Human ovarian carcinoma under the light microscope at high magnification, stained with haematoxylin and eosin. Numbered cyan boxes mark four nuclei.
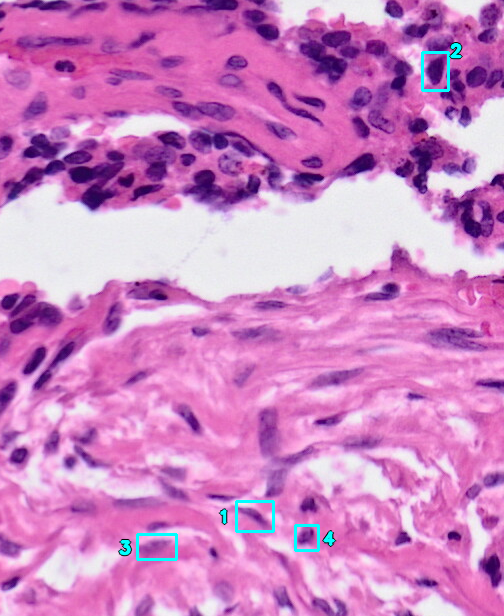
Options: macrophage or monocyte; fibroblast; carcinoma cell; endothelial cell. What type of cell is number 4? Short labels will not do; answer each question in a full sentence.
Heads up, the cell numbered 4 is a fibroblast.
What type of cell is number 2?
The cell carrying label 2 is identified as a carcinoma cell.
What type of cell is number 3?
The cell tagged with 3 in this tissue section is a fibroblast.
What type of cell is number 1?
The cell assigned the number 1 is a fibroblast.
